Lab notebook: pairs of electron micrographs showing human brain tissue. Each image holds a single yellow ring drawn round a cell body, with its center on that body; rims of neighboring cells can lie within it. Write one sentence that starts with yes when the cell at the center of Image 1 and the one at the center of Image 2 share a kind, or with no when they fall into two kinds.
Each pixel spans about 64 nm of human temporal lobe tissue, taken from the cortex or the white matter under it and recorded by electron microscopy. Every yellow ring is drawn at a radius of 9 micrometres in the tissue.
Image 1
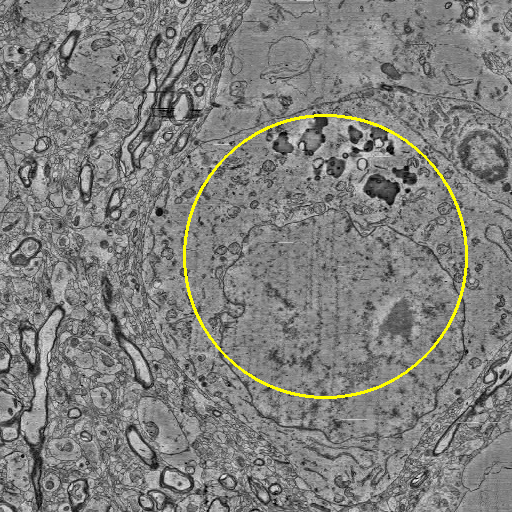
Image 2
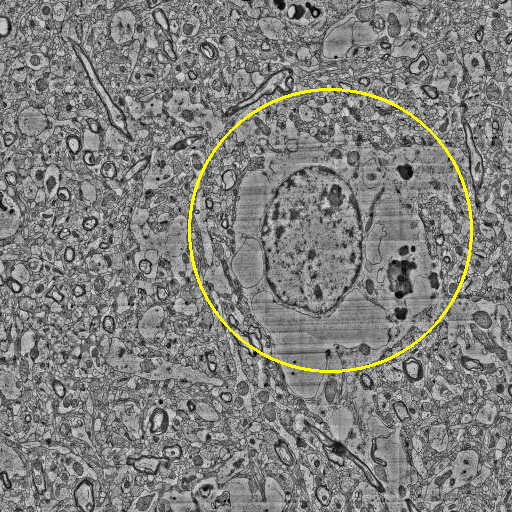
No, the centered cell in Image 1 and the centered cell in Image 2 are of two kinds.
